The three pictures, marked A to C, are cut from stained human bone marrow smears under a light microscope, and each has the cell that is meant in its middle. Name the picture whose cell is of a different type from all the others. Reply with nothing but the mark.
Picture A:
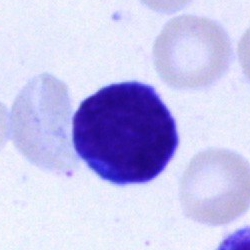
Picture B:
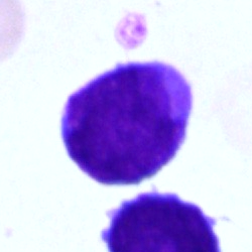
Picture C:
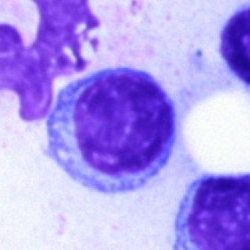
B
